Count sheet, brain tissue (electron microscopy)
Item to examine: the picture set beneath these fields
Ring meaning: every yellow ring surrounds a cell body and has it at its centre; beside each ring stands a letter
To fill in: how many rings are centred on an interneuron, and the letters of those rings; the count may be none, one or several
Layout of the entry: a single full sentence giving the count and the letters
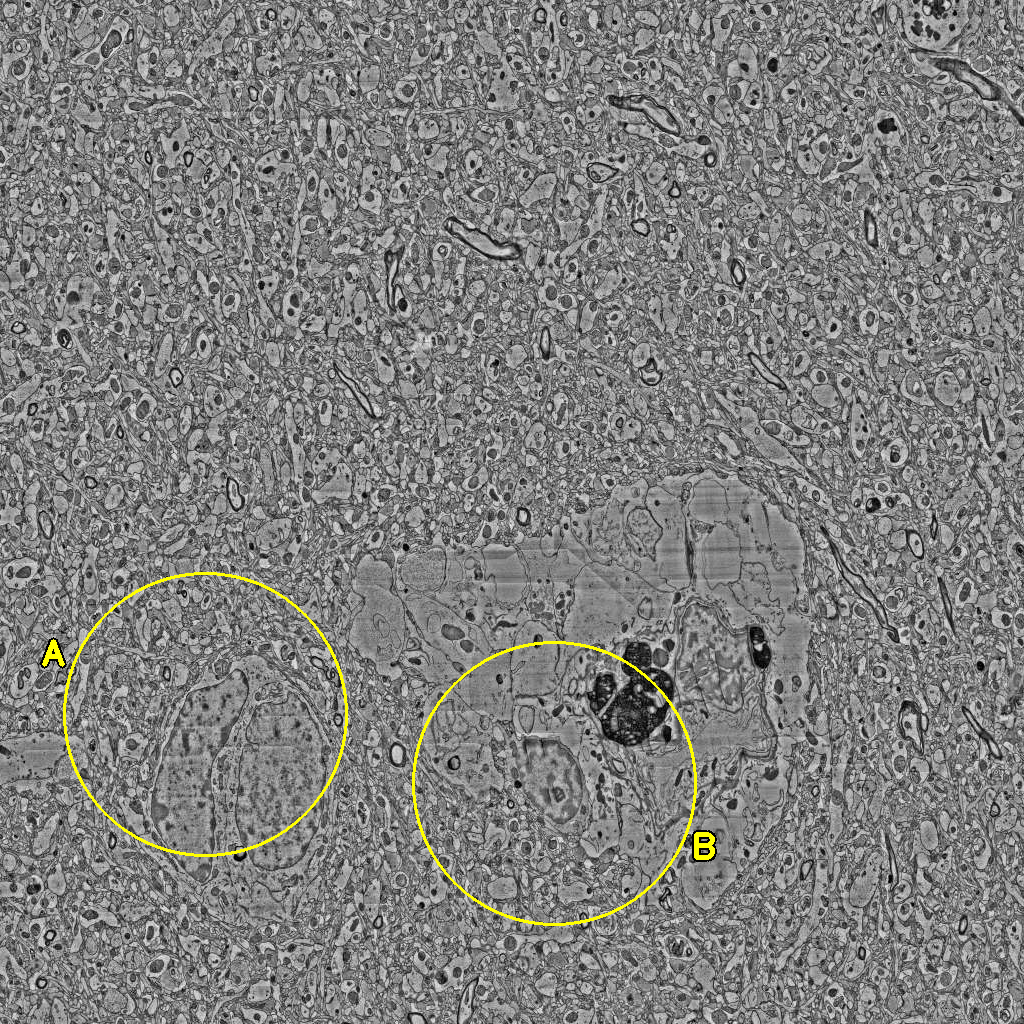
There is no ring centred on an interneuron in this micrograph, and so the count is zero.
